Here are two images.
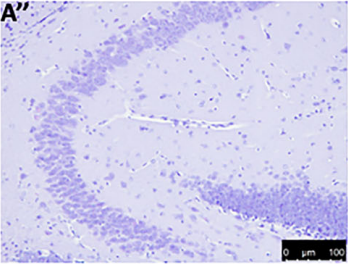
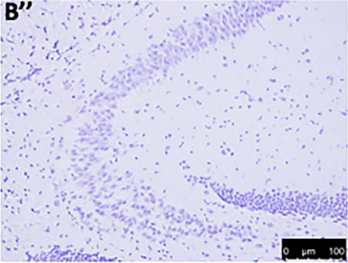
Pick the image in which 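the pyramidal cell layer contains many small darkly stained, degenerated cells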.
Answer: The second image.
